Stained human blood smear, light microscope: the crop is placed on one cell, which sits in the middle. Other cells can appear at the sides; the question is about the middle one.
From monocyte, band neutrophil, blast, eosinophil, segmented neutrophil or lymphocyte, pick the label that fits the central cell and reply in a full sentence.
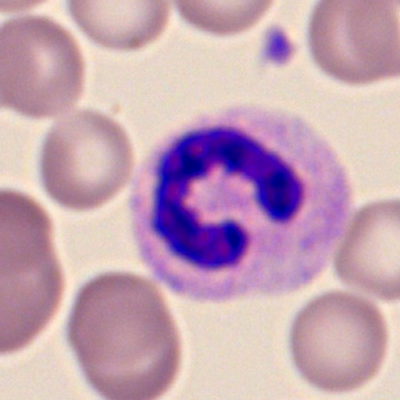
In the center of this field lies a band neutrophil.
